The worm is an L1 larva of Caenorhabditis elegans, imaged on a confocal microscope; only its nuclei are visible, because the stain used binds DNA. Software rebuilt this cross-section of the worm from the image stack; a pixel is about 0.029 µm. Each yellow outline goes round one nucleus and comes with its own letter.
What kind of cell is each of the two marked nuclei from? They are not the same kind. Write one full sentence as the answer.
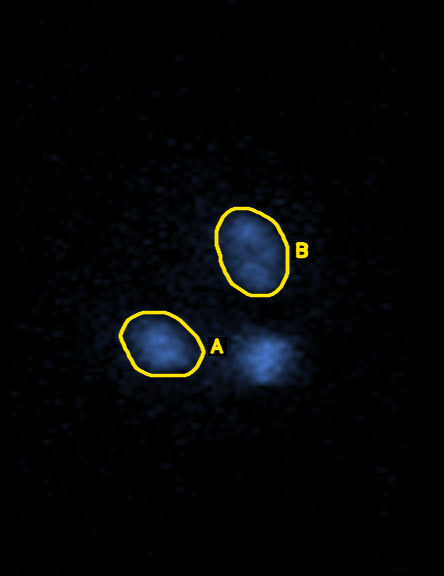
A is from an enteric muscle cell, and B is from an intestinal cell.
